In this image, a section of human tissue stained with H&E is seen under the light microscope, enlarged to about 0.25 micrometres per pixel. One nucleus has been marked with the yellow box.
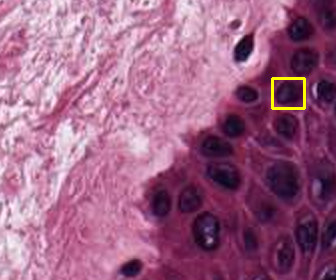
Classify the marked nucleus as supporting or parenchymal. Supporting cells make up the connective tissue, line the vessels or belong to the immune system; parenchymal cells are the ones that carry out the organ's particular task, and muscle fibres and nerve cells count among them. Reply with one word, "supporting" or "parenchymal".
parenchymal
